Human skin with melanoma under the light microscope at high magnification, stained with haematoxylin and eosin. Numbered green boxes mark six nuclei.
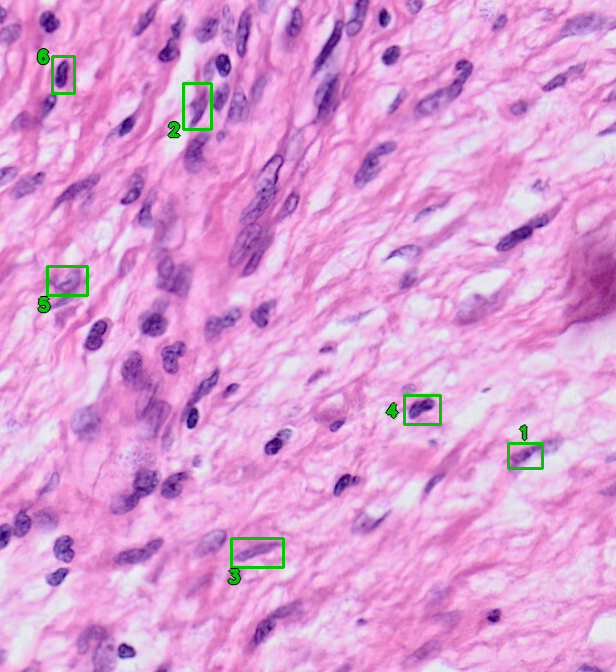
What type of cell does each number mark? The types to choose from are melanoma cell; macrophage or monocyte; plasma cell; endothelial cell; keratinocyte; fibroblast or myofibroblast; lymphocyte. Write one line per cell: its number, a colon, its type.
1: fibroblast or myofibroblast
2: fibroblast or myofibroblast
3: fibroblast or myofibroblast
4: lymphocyte
5: fibroblast or myofibroblast
6: lymphocyte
